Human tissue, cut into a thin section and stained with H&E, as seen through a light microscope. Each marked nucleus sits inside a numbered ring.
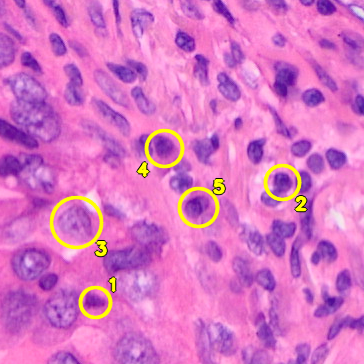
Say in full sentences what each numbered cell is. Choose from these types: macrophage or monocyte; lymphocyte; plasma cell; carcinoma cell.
Cell 1 is a carcinoma cell, cell 2 is a lymphocyte, cell 3 is a carcinoma cell, cell 4 is a plasma cell and cell 5 is a plasma cell.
